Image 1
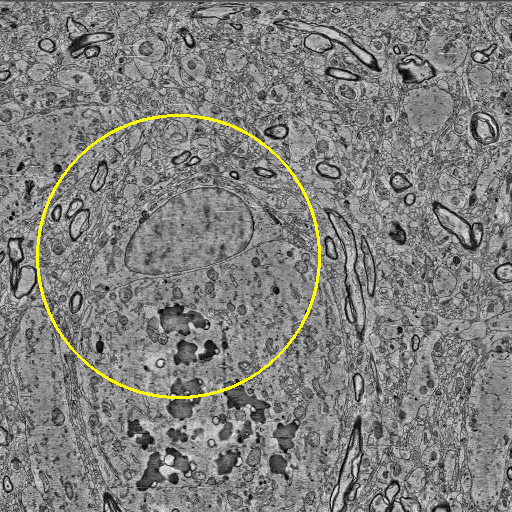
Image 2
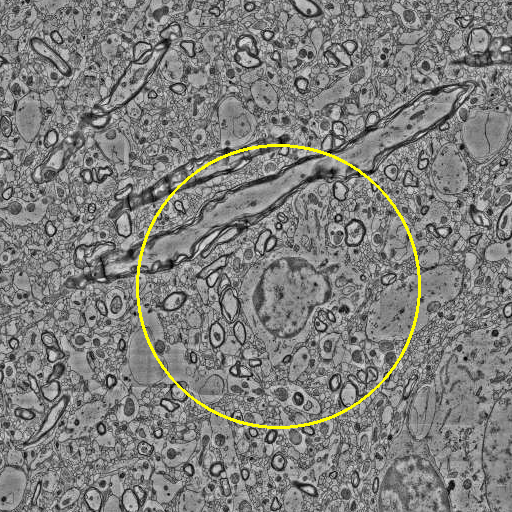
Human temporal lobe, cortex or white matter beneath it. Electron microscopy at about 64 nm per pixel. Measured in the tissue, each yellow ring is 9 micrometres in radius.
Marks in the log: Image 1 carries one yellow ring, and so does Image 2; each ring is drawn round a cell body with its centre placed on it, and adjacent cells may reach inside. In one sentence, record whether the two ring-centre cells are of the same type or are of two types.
The two cells at the ring centres, one in each image, are of the same type.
